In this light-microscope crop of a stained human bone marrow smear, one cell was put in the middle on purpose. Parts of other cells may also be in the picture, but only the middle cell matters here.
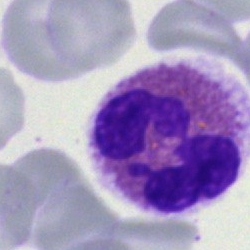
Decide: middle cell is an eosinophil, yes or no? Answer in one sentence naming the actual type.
Yes, the central element of the crop is an eosinophil.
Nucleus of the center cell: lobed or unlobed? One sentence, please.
The nucleus has been partitioned into two or more lobes.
